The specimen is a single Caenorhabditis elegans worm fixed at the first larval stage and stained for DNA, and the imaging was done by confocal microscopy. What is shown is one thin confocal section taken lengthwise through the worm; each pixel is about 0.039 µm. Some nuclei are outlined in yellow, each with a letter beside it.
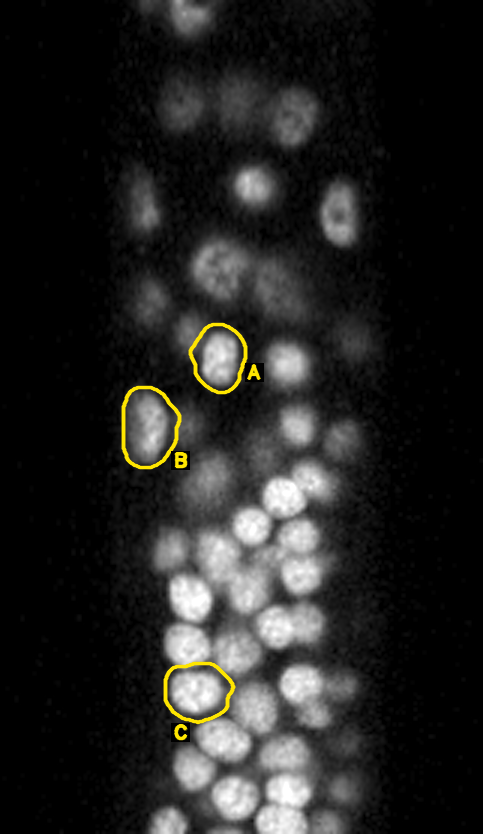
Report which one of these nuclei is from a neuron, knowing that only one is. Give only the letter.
C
